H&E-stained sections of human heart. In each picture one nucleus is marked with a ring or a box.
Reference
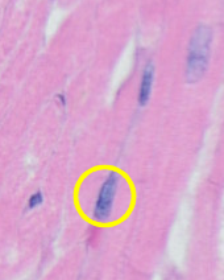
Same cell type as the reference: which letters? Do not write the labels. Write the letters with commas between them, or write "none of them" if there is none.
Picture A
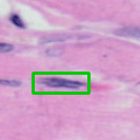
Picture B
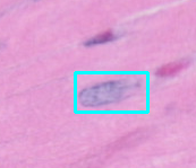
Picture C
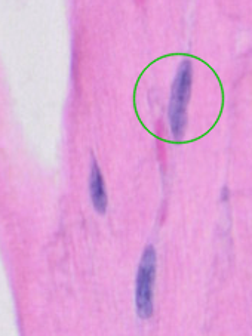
A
